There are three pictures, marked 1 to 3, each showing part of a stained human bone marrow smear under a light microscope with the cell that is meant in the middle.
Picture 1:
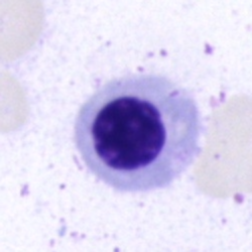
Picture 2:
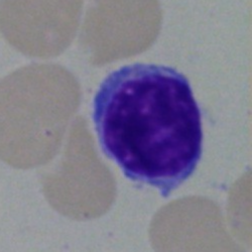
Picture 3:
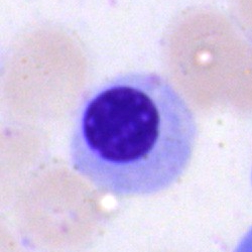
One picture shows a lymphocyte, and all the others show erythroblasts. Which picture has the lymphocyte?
2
